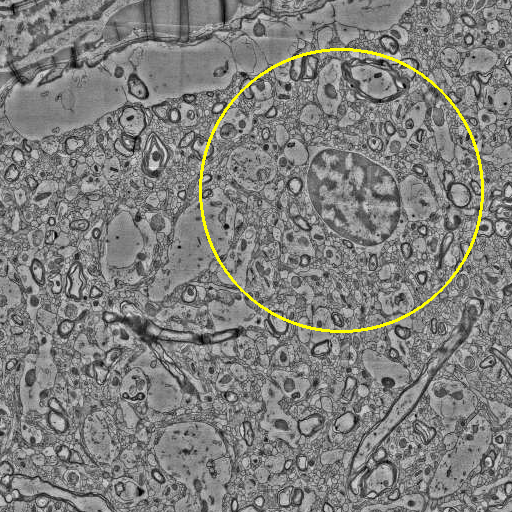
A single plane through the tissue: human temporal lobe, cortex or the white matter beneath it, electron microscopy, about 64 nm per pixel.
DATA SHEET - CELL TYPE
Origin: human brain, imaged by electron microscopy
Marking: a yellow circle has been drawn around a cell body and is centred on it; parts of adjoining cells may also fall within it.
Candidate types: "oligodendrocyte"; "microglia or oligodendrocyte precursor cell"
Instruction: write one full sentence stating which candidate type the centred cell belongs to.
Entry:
The cell body at the centre of the yellow ring in this micrograph belongs to a microglial cell or oligodendrocyte precursor cell.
